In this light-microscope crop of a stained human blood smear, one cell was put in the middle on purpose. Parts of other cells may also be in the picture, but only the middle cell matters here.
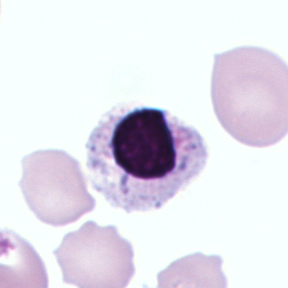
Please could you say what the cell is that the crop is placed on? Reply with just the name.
normoblast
